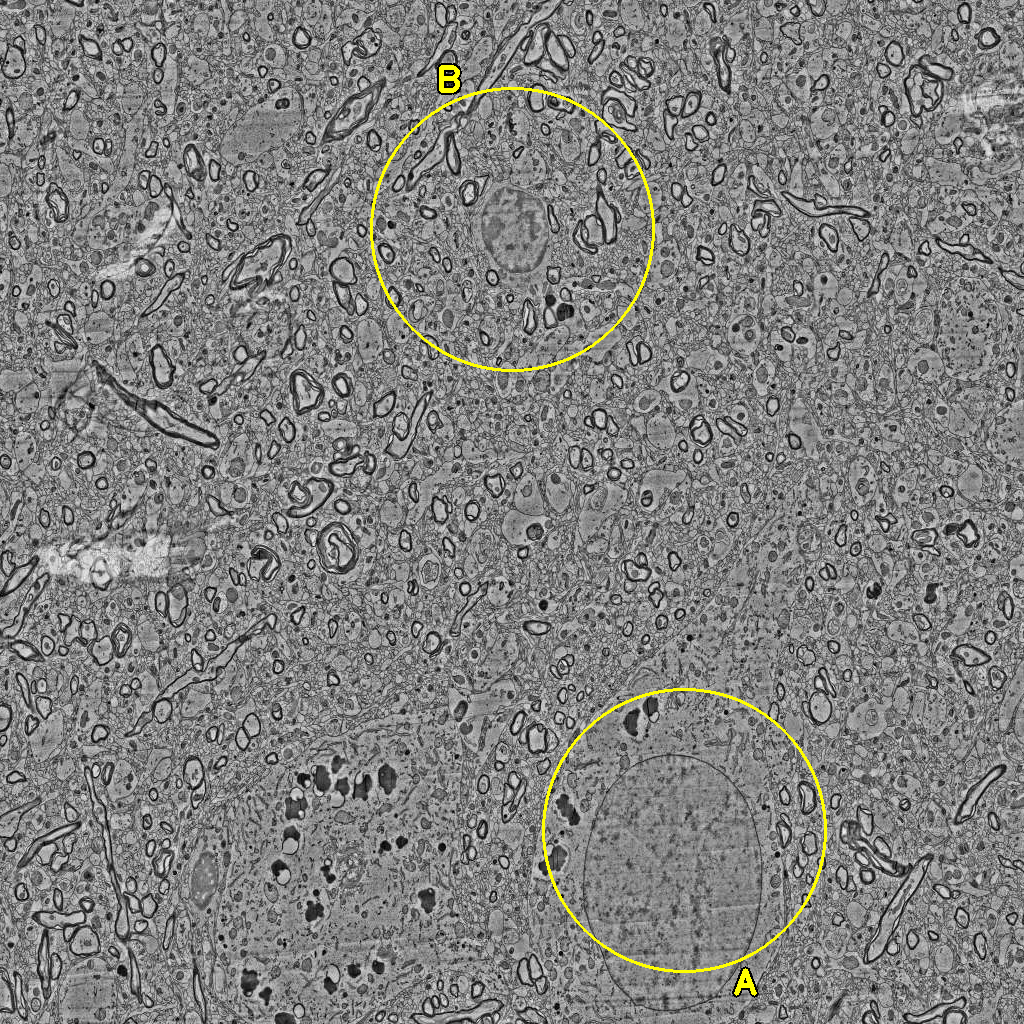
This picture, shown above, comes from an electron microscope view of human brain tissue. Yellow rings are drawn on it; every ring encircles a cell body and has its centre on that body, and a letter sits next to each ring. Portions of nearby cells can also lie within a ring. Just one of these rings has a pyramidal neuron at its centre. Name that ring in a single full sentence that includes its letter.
In the picture, ring A has the cell asked for at its centre.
